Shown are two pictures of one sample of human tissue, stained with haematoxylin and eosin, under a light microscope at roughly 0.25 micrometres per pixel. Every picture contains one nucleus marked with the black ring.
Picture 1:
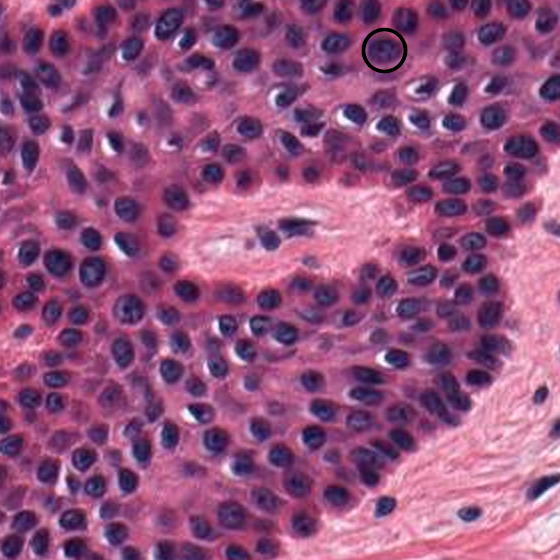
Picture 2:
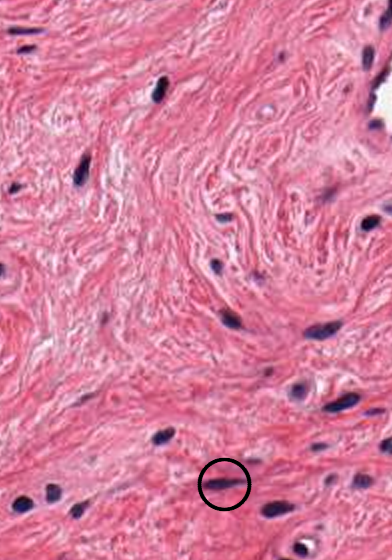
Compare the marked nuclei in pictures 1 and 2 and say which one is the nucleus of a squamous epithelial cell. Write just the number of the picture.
1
